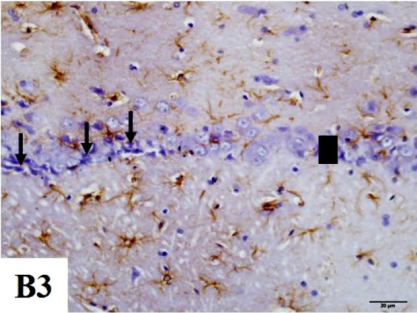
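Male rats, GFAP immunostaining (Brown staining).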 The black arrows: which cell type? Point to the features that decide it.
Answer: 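Pyramidal neuron. The arrows point to cells within the blue-stained neuronal layer. These cells are small, dark and condensed compared with neighbouring pale round nuclei.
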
